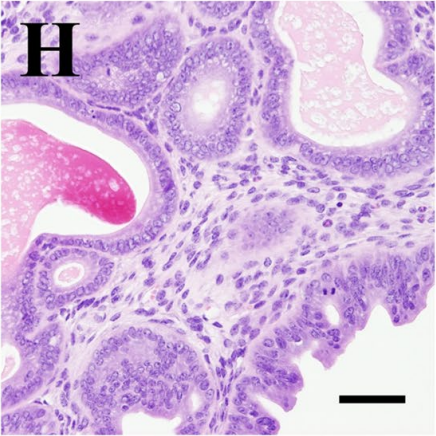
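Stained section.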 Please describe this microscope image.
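The lumen at lower right is lined by a folded layer of tall columnar epithelial cells with basal to central oval nuclei. Between the glands lies a loose stroma with scattered oval to spindle nuclei.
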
